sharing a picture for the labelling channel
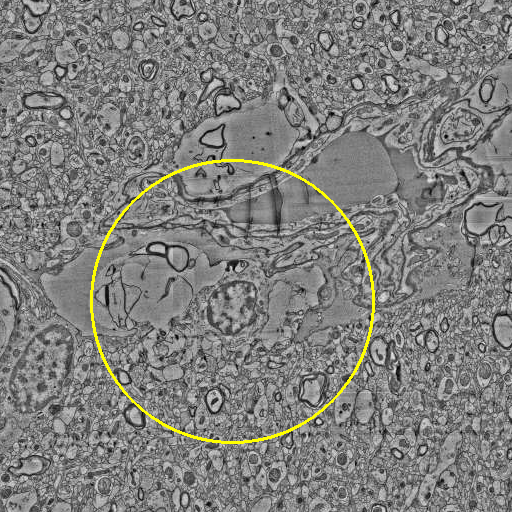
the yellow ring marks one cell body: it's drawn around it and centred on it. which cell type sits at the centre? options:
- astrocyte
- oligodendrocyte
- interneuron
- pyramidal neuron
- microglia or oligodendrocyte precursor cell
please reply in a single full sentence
In the picture, the cell at the ring's centre is a microglial cell or oligodendrocyte precursor cell, going by the list.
